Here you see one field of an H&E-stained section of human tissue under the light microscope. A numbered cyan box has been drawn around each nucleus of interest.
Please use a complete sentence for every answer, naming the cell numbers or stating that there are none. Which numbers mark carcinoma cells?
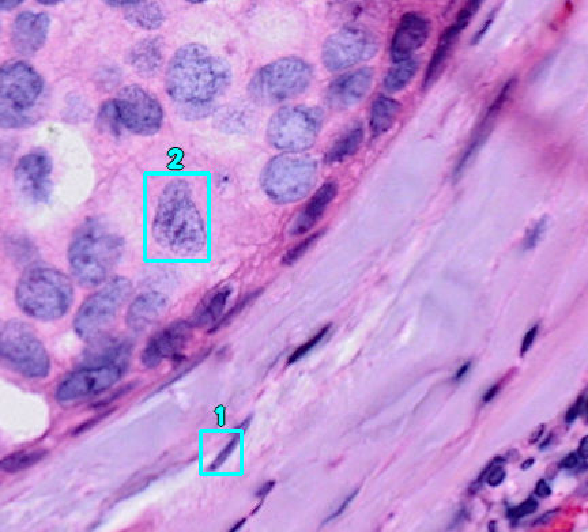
Only nucleus 2 belongs to a carcinoma cell; the other numbered nuclei do not.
